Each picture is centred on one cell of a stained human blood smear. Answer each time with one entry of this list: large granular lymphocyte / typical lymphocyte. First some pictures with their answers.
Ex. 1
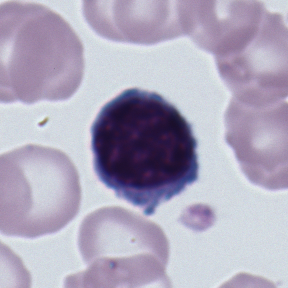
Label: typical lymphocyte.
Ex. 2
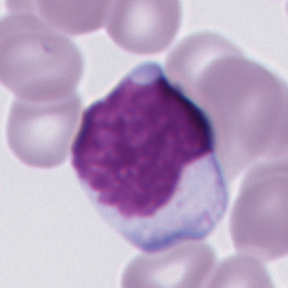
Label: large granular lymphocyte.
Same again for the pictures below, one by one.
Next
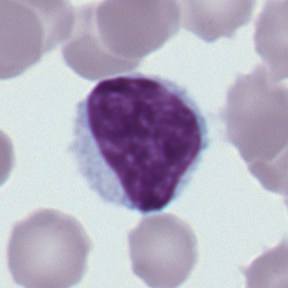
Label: typical lymphocyte.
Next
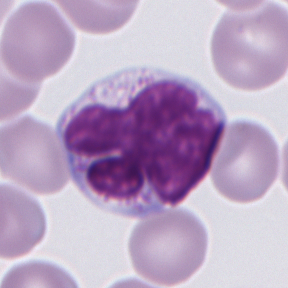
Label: large granular lymphocyte.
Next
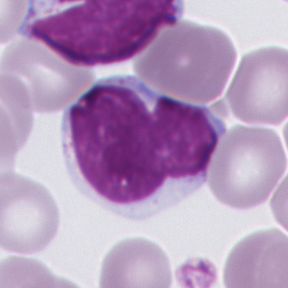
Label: large granular lymphocyte.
